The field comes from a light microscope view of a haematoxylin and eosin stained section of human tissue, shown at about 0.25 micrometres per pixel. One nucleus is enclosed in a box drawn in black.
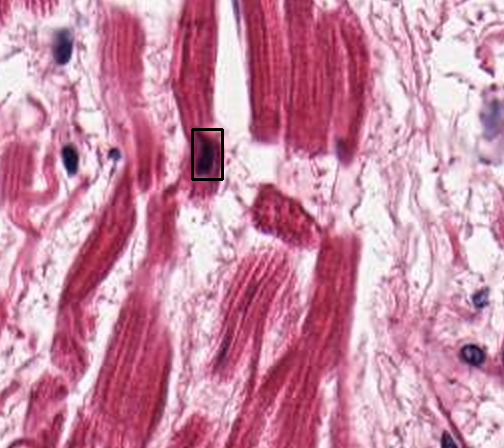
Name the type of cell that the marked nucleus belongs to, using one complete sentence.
The nucleus with the mark belongs to a cardiomyocyte.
